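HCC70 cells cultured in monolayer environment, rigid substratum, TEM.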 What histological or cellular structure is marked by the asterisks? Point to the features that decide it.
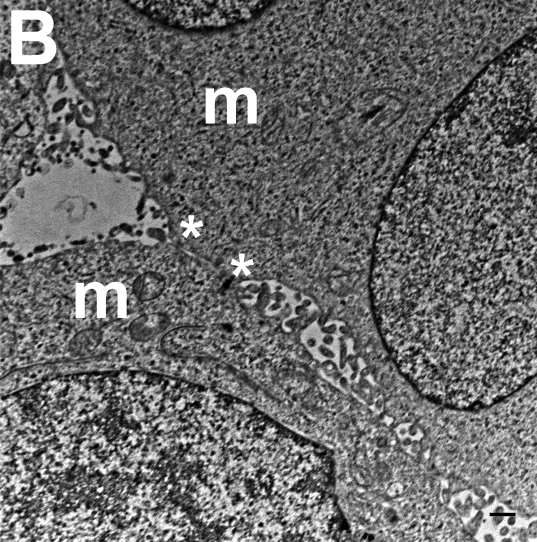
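The asterisks sit where the plasma membranes of two adjacent cells meet closely. Small electron-dense spots lie along the apposed membranes at the asterisks. Beyond the contact the cells separate, with microvilli projecting into the space between them. The answer: intercellular junctions.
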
